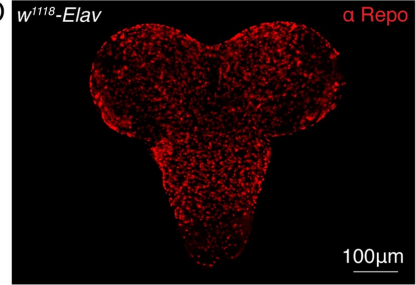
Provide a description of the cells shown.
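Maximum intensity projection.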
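Two rounded brain hemispheres sit side by side at the top, joined in the middle, and a long tapering cord runs downward from between them. Small, roughly round red nuclei of similar size are scattered densely and fairly evenly across the hemispheres and the cord, outlining the whole organ. No cell bodies or processes other than the red nuclei are visible.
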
